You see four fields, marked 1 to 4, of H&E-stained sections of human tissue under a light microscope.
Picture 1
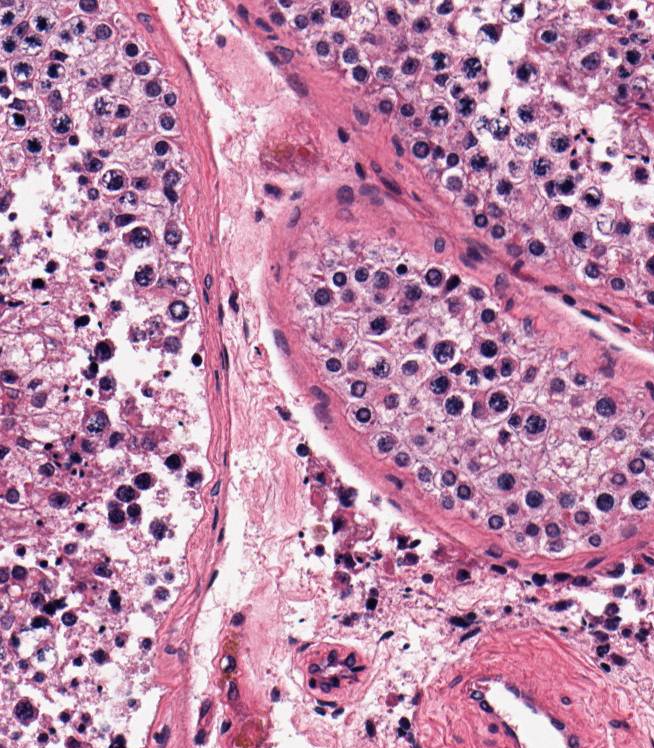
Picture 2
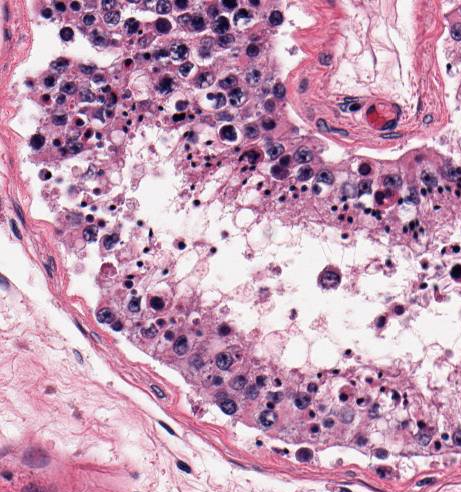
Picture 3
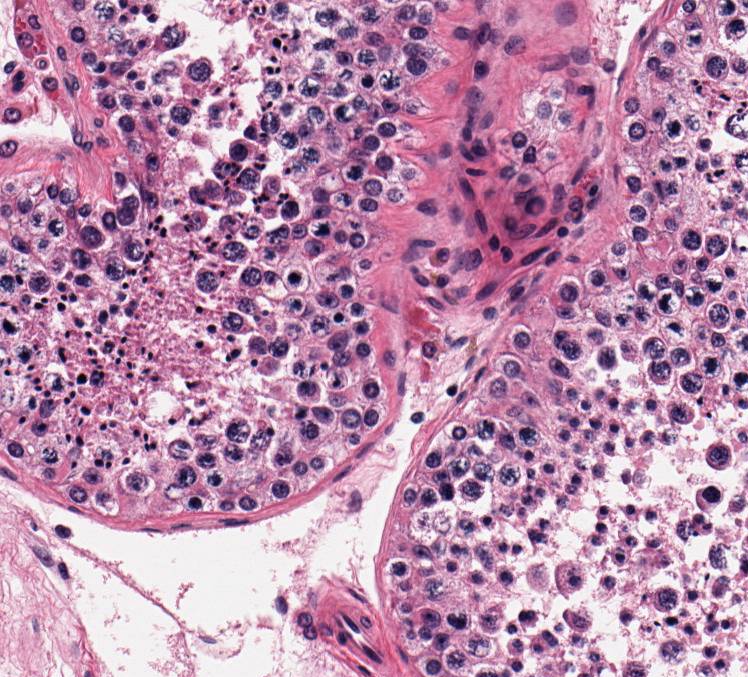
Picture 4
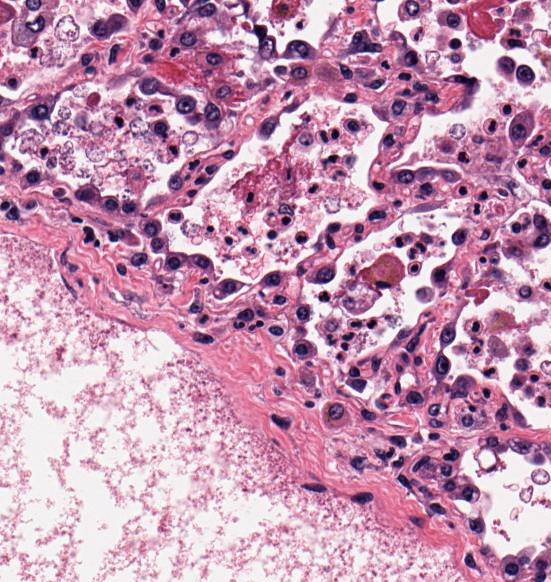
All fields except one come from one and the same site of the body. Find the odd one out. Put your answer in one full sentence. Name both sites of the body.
The others come from the testis, but picture 4 comes from the lung.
